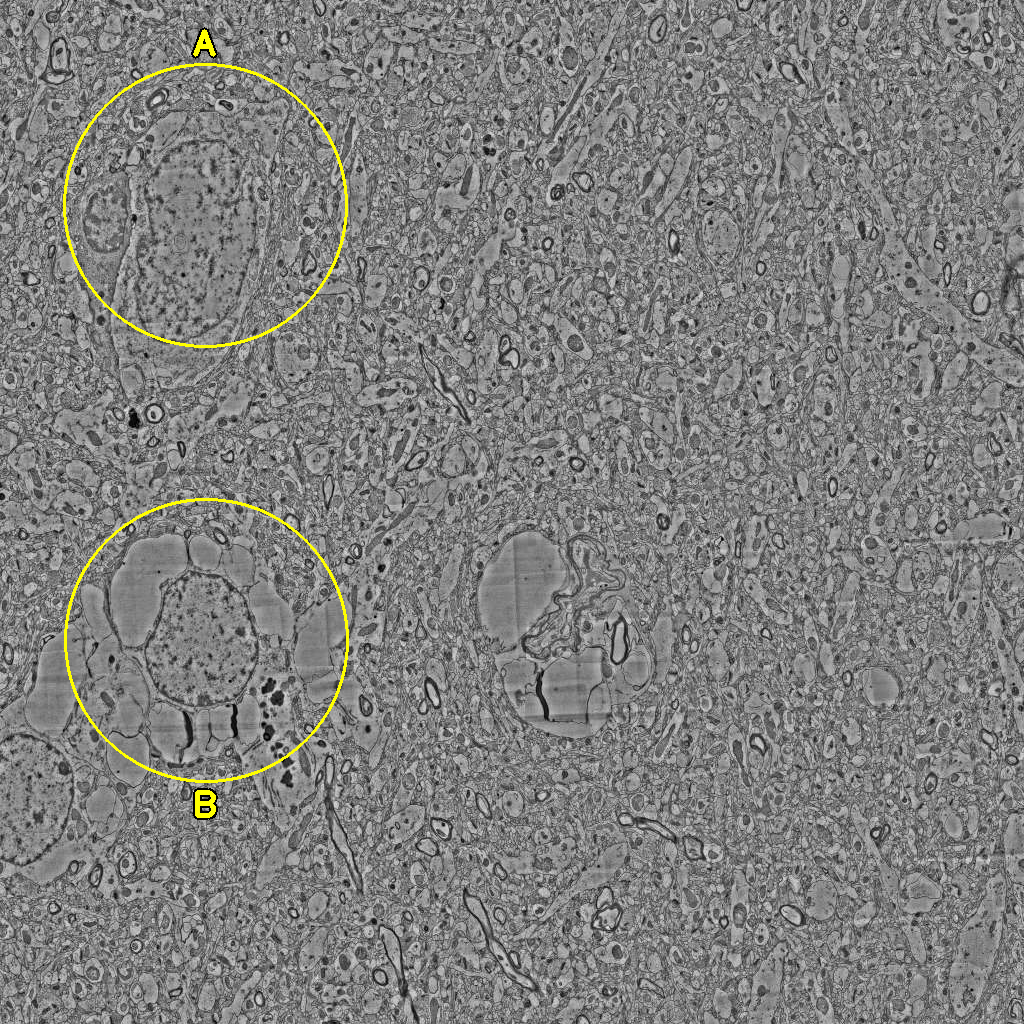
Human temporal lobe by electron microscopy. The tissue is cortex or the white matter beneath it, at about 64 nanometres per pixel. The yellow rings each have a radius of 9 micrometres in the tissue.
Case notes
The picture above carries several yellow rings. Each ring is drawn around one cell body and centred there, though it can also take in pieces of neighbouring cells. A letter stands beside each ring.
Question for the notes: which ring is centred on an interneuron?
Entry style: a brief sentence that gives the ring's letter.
Ring A is centred on it.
